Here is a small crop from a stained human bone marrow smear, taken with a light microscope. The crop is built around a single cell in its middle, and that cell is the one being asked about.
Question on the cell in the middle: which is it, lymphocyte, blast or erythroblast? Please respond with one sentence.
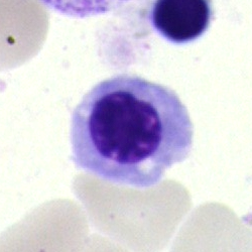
This crop's central cell is an erythroblast.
